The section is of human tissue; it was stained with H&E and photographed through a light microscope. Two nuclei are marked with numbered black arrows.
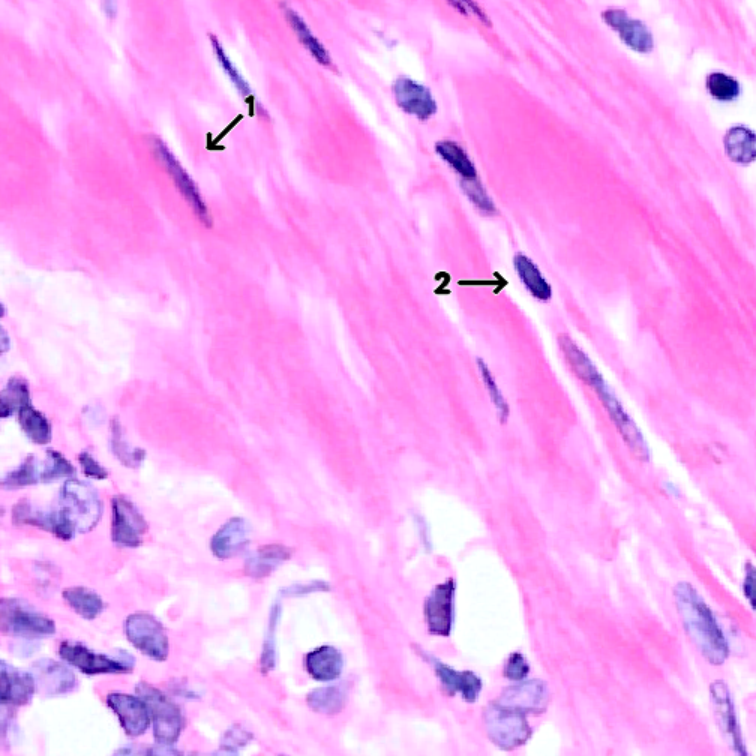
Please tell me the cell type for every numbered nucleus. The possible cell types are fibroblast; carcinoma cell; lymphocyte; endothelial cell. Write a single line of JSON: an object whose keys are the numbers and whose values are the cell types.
{"1": "fibroblast", "2": "lymphocyte"}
